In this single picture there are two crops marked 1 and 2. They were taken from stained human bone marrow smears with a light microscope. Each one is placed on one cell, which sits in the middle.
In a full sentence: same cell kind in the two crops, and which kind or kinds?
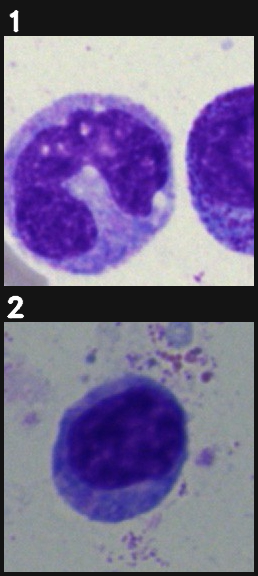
Yes, with regard to both crops, the central cells are monocytes.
